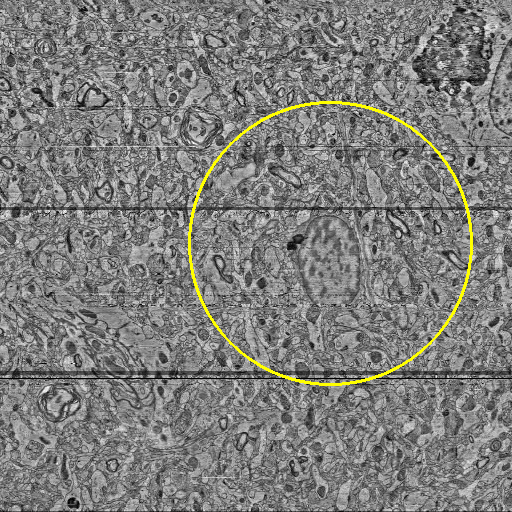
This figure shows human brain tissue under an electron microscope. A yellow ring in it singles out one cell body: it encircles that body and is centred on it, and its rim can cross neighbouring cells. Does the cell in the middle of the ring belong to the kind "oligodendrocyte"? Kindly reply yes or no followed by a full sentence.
Yes, the kind asked about is right for the cell centred in the figure's ring.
